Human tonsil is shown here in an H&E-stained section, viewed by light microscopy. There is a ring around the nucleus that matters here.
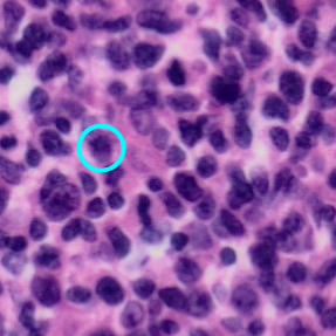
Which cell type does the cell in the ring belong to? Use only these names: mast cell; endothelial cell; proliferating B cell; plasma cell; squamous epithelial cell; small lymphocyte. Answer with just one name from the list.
proliferating B cell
